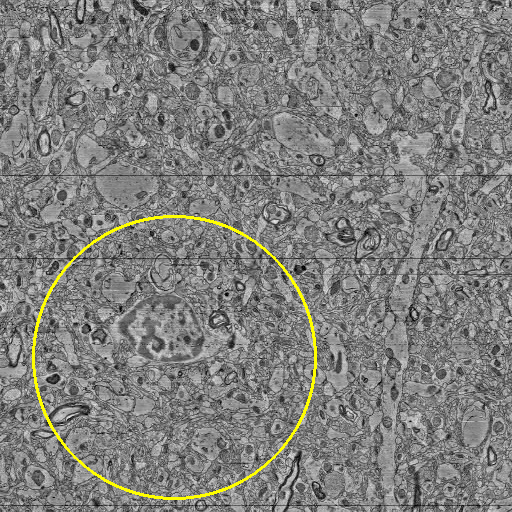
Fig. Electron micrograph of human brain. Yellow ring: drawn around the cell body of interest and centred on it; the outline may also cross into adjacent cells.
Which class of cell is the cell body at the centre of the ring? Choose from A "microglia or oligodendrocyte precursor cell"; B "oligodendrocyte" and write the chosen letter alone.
A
